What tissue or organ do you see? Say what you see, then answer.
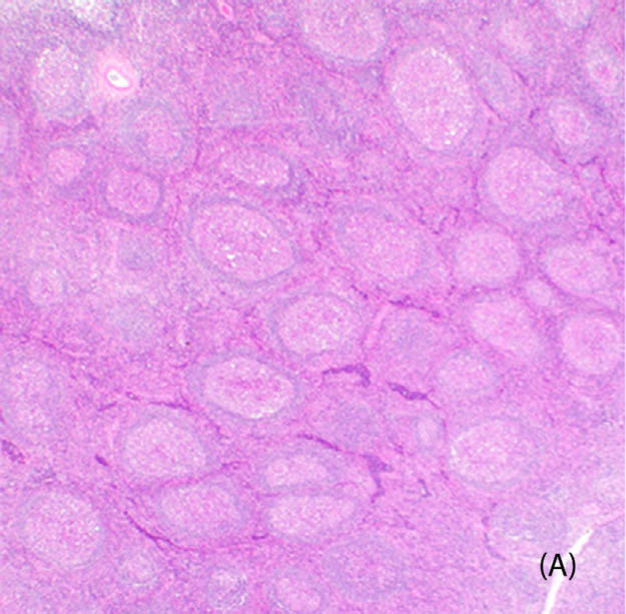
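Many rounded lymphoid follicles with pale centres and darker rims. Follicles lie closely packed within lymphoid tissue. That points to this answer: Lymph node.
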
